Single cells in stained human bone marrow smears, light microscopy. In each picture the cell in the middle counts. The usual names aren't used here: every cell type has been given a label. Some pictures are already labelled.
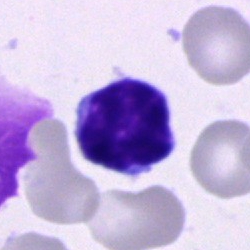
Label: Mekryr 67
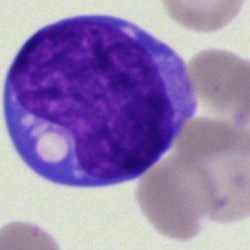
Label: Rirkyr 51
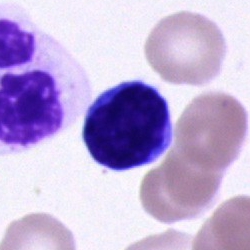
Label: Mekryr 67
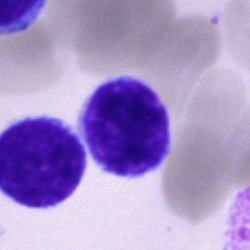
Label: Mekryr 67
